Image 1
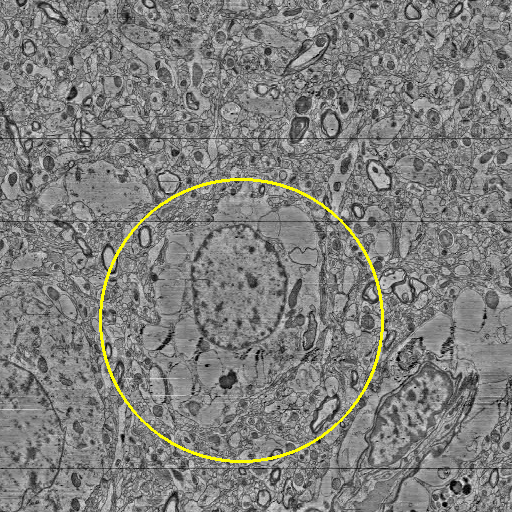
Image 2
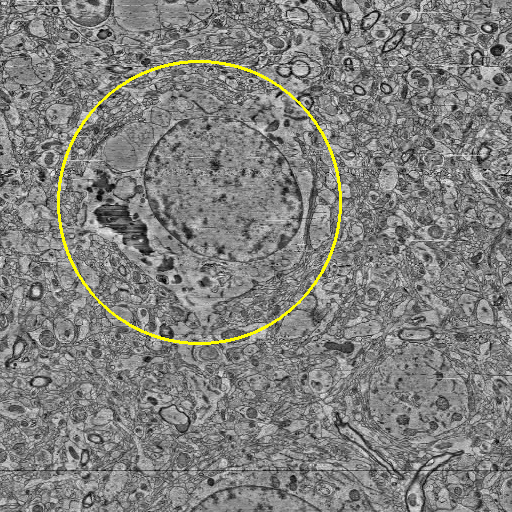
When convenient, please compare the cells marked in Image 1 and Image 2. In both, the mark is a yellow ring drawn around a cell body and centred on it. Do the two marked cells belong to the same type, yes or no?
yes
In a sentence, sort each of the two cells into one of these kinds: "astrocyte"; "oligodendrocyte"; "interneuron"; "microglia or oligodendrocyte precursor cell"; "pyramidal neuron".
The ring centre holds an astrocyte in each of the two pictures.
